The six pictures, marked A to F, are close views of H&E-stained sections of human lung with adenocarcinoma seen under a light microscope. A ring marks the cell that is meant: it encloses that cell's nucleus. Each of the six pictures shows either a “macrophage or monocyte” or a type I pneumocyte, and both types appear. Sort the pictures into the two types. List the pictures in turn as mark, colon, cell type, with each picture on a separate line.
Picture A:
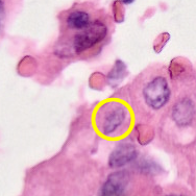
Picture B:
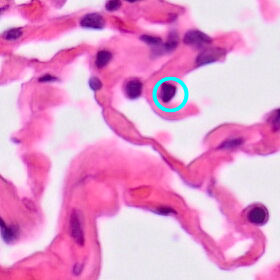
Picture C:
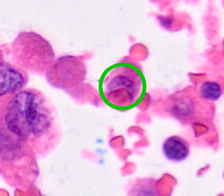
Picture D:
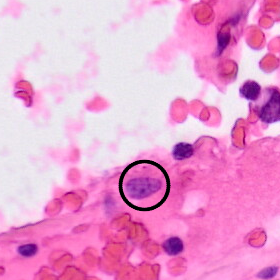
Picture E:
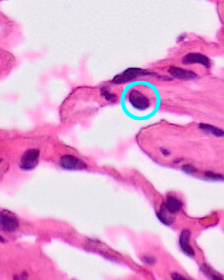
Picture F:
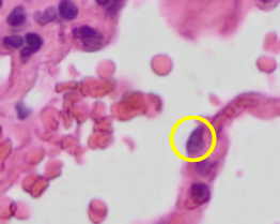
A: macrophage or monocyte
B: type I pneumocyte
C: macrophage or monocyte
D: type I pneumocyte
E: type I pneumocyte
F: type I pneumocyte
